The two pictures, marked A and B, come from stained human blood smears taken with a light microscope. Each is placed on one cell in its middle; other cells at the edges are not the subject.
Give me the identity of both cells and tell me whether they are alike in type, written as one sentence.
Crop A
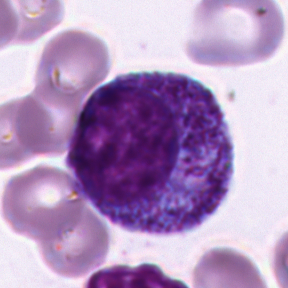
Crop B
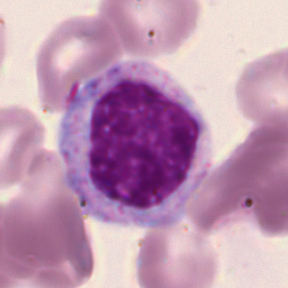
No, crop A depicts a promyelocyte; crop B depicts a myelocyte.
